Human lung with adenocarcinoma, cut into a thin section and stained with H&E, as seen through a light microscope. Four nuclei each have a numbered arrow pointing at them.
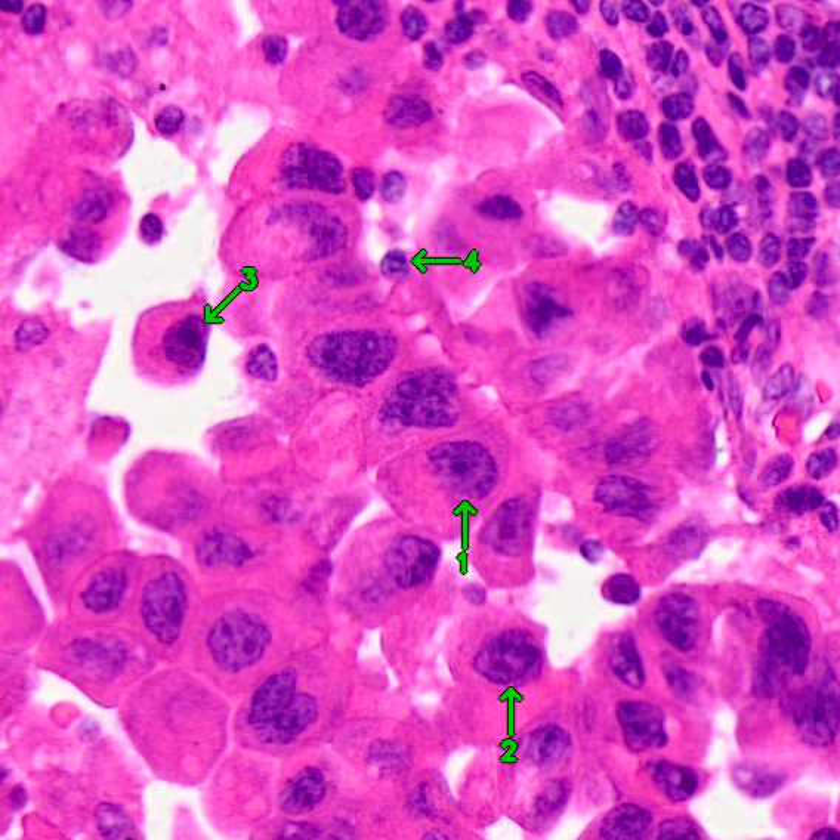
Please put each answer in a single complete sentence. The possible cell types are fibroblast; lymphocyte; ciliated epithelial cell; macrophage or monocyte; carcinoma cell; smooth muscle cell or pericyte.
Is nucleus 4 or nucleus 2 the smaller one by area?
Number 4 is smaller, since number 2 takes up about 4 times as much area.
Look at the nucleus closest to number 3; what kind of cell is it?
The nearest nucleus to number 3 belongs to a lymphocyte.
